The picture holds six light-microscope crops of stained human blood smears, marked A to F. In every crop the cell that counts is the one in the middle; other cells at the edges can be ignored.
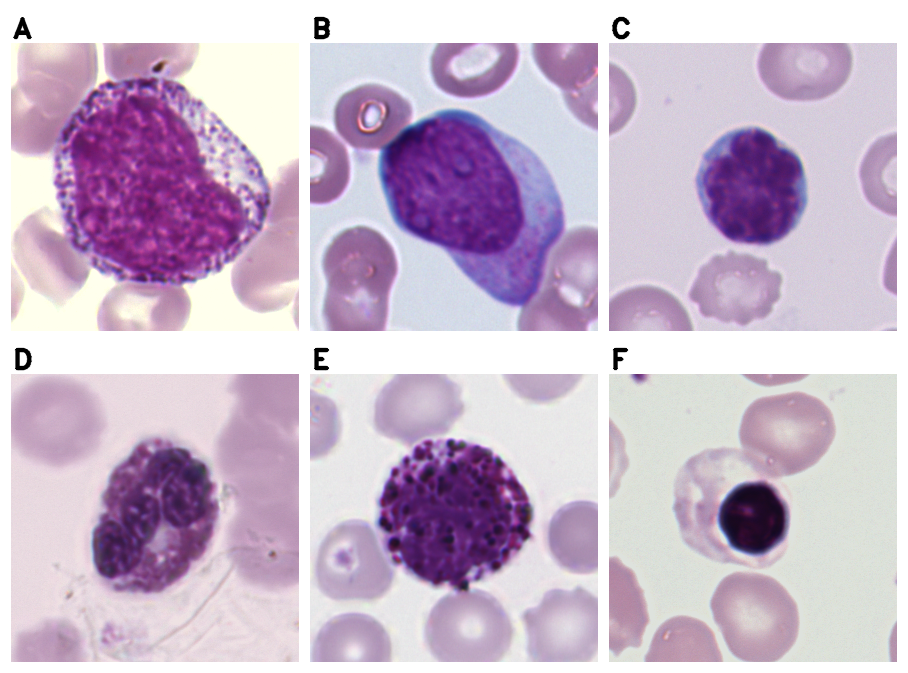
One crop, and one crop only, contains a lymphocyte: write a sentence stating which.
The one showing a lymphocyte is crop C.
